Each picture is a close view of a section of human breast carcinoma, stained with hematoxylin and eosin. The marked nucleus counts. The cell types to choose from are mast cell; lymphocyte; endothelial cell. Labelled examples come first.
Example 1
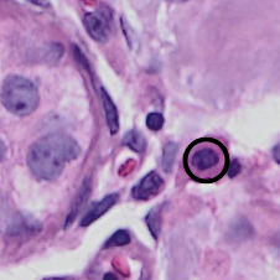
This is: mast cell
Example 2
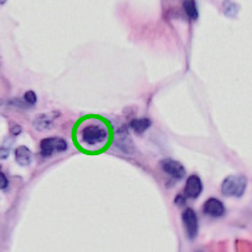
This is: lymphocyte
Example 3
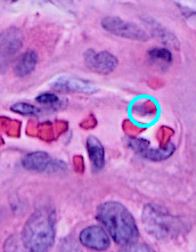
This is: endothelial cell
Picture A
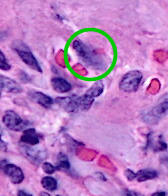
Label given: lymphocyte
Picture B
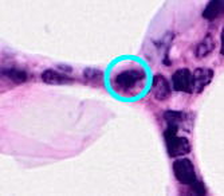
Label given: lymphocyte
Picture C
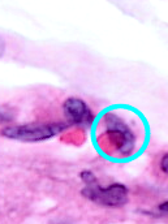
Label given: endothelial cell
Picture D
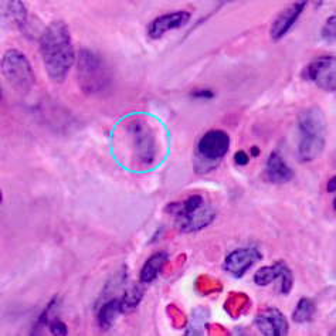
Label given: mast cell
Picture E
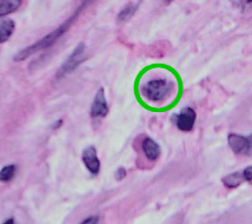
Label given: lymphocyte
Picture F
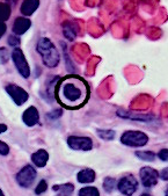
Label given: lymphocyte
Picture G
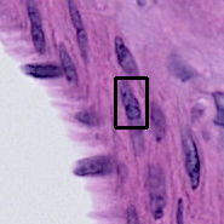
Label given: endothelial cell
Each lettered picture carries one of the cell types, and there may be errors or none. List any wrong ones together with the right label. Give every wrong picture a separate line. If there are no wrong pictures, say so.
A: change lymphocyte to endothelial cell
E: change lymphocyte to mast cell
